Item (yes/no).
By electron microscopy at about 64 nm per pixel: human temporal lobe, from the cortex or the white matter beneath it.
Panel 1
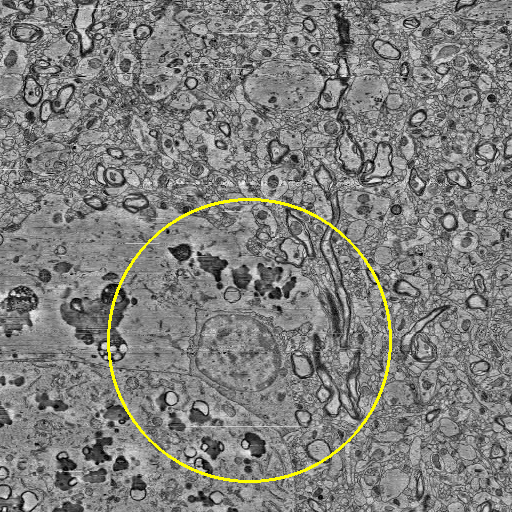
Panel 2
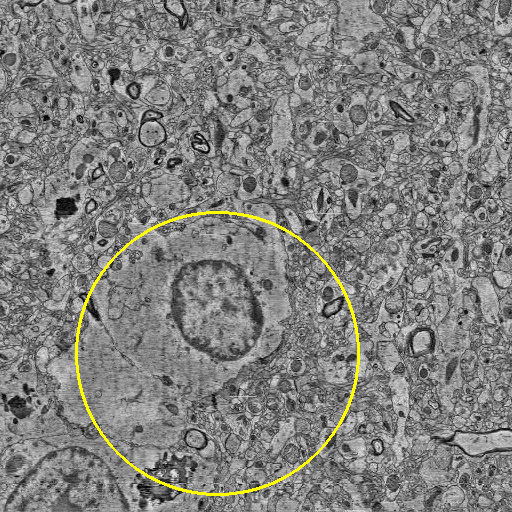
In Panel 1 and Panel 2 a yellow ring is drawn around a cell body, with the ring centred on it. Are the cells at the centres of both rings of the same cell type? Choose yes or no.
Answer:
no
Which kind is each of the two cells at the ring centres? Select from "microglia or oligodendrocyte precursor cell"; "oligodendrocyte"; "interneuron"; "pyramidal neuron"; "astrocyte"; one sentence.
The cell at the centre of the ring is an oligodendrocyte in the first picture and an astrocyte in the second.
